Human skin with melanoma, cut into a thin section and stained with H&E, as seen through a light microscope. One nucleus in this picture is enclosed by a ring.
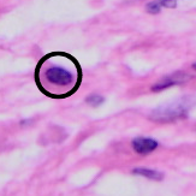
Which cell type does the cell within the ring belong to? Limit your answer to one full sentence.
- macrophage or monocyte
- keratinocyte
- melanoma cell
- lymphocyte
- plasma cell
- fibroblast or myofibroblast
The classification of the cell within the ring is as a plasma cell.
